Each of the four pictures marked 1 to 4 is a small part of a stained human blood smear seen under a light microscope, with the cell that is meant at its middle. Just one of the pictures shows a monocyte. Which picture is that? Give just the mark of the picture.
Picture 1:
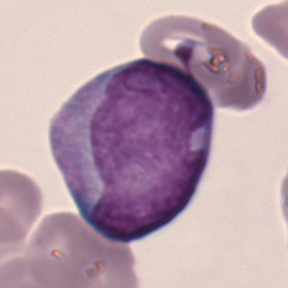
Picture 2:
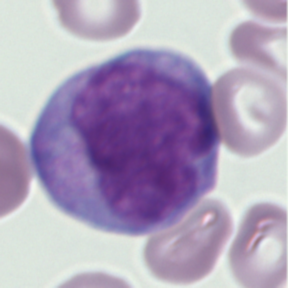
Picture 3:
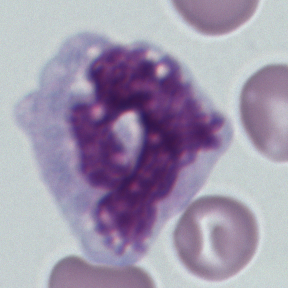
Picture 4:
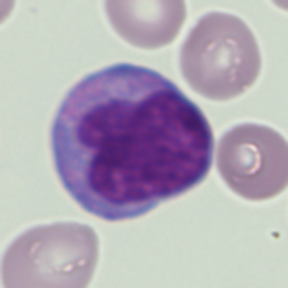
3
